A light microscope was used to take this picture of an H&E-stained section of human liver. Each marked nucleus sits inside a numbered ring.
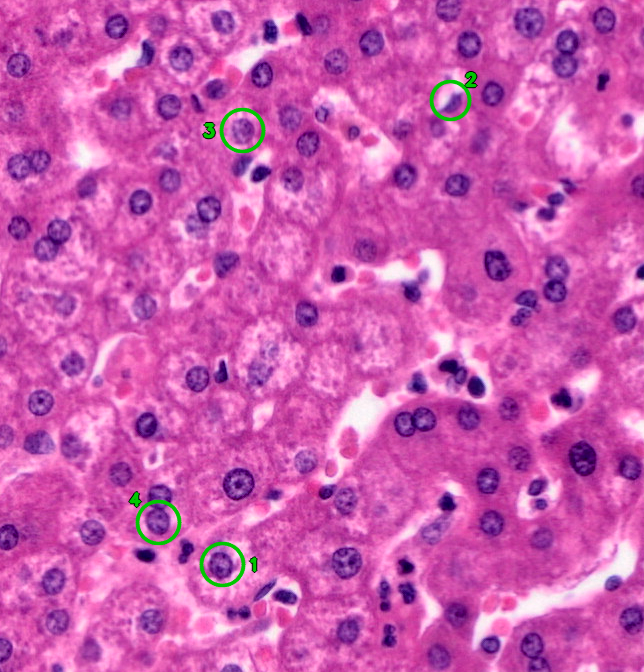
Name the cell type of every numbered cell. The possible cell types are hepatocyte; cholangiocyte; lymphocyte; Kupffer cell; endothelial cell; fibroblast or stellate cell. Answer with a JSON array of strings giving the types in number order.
["hepatocyte", "endothelial cell", "hepatocyte", "hepatocyte"]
